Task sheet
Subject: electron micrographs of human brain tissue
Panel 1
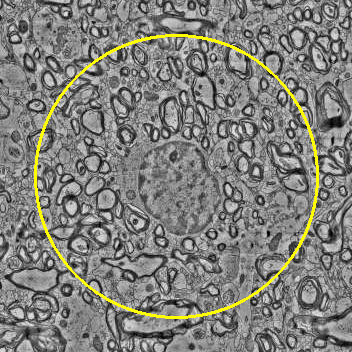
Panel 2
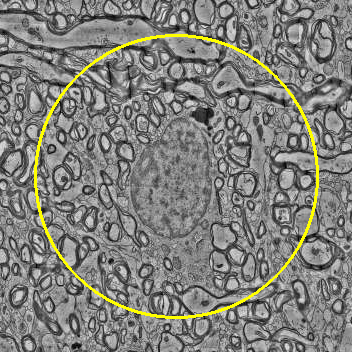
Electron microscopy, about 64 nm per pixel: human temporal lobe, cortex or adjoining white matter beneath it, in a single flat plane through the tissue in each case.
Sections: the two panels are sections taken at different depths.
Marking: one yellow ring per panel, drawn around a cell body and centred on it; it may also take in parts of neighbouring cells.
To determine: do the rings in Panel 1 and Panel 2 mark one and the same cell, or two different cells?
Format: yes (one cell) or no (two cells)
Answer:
no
